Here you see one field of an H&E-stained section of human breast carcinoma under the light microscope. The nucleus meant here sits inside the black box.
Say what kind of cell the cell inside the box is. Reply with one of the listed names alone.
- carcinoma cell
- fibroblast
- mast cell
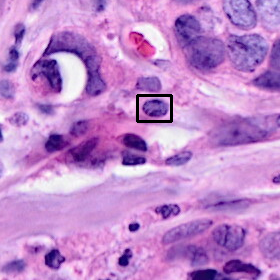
mast cell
